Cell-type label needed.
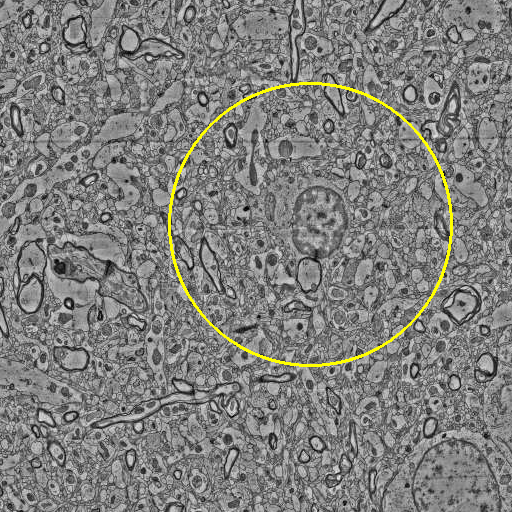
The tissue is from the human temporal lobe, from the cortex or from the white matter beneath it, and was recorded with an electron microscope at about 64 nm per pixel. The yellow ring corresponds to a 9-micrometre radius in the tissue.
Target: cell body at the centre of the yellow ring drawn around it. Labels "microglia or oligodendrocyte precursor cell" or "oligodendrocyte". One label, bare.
oligodendrocyte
